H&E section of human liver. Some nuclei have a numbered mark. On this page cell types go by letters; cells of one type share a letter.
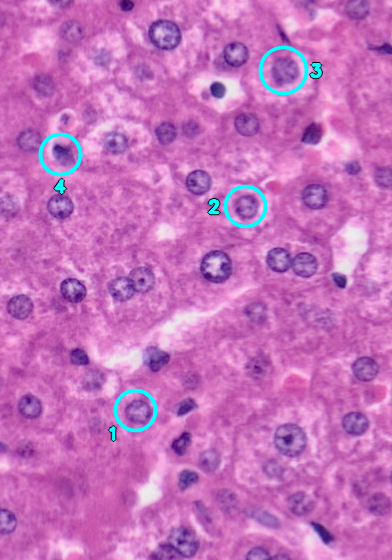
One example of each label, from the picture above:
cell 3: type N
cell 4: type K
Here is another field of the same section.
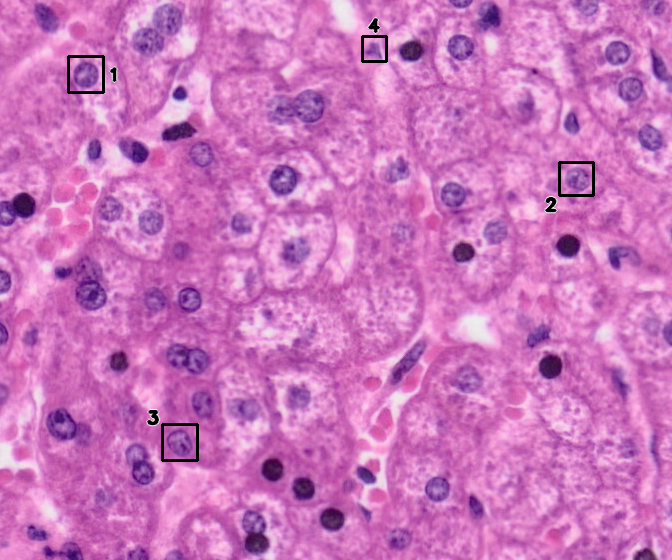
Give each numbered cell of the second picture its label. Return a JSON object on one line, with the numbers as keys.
{"1": "type N", "2": "type N", "3": "type N", "4": "type K"}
